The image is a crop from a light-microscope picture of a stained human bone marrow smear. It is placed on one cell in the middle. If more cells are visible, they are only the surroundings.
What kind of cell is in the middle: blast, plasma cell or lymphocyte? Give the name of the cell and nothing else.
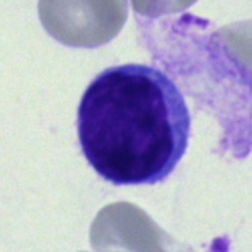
lymphocyte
